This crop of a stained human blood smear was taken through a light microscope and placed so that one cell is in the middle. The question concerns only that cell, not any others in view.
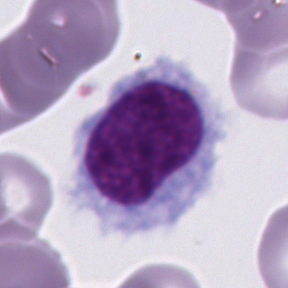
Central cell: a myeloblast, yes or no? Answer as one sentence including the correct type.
No, a hairy cell, not a myeloblast, is what sits in the centre of the crop.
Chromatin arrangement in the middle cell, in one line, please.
In this cell the chromatin is fine rather than coarsely clumped.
